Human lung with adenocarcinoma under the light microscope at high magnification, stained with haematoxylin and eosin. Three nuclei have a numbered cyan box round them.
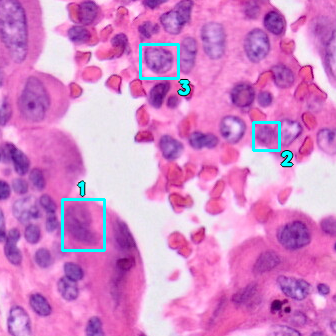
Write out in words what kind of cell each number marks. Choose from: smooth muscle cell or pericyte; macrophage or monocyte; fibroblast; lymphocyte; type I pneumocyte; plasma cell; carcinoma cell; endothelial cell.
Cell 1 is a carcinoma cell. Cells 2 and 3 are macrophages or monocytes.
